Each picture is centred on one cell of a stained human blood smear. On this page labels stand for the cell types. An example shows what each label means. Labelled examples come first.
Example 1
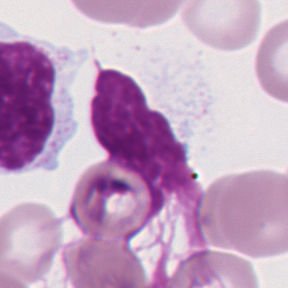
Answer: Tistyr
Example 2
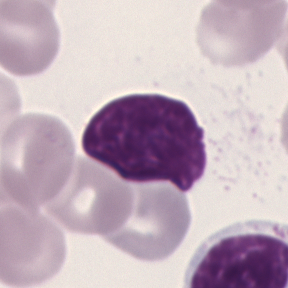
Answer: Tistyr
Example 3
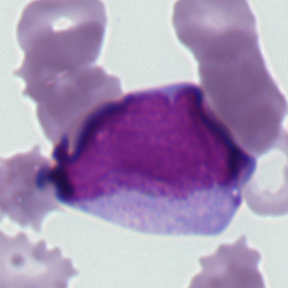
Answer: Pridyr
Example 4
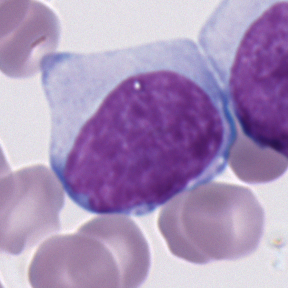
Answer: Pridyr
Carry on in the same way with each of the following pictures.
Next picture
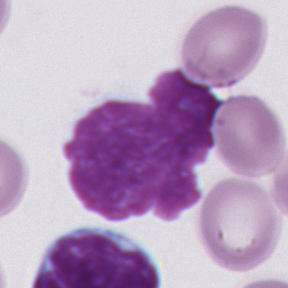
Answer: Tistyr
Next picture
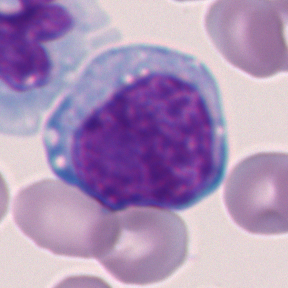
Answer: Pridyr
